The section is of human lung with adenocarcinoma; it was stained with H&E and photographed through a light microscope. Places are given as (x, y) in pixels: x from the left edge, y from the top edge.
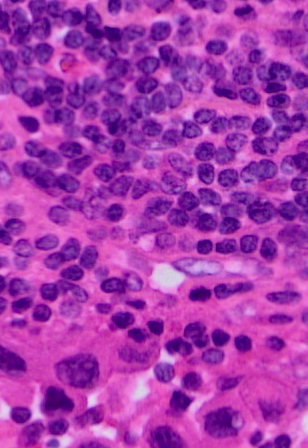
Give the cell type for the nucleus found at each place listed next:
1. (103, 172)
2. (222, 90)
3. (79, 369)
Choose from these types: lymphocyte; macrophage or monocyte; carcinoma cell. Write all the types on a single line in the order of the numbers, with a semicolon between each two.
lymphocyte; lymphocyte; carcinoma cell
